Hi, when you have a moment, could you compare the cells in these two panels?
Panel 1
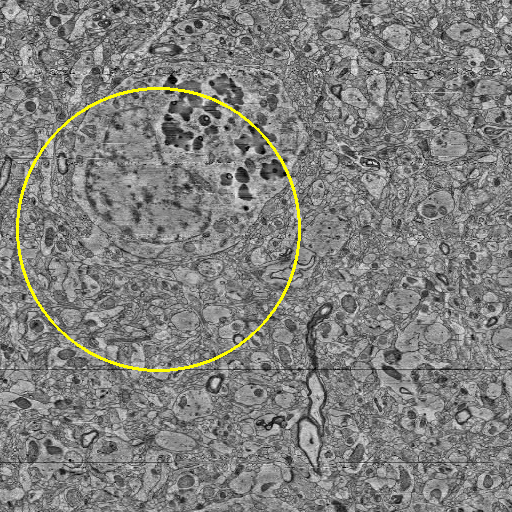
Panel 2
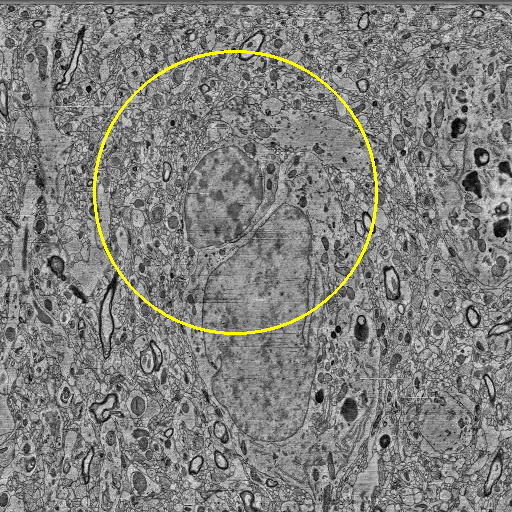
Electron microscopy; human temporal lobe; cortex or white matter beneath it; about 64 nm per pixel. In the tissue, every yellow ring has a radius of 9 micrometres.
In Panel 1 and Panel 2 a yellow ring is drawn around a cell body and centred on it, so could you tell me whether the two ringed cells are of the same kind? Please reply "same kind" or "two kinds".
two kinds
